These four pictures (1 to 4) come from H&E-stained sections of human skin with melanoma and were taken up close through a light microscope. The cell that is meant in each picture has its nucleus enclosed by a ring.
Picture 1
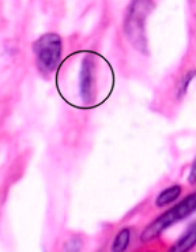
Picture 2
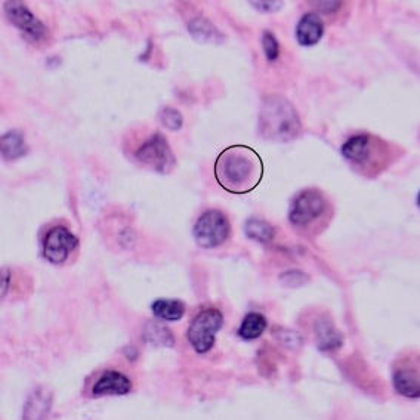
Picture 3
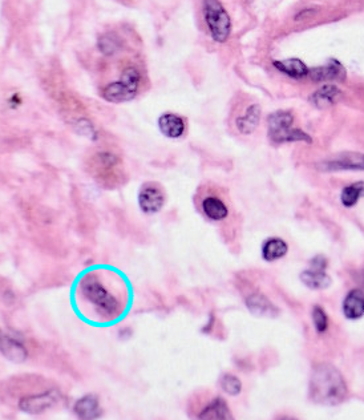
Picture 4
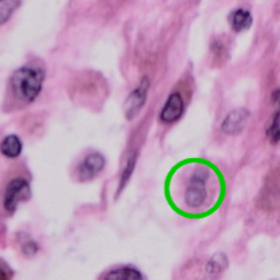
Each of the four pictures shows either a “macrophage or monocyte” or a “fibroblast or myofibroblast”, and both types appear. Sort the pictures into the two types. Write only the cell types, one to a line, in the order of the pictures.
fibroblast or myofibroblast
macrophage or monocyte
macrophage or monocyte
macrophage or monocyte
